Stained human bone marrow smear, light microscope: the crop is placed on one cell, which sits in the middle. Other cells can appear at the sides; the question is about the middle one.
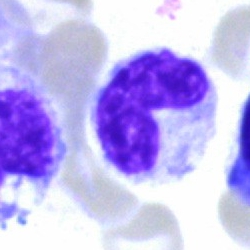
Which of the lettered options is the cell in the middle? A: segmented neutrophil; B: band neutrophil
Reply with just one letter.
B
